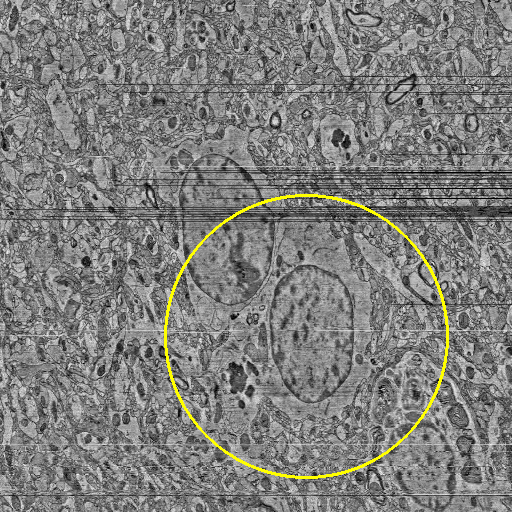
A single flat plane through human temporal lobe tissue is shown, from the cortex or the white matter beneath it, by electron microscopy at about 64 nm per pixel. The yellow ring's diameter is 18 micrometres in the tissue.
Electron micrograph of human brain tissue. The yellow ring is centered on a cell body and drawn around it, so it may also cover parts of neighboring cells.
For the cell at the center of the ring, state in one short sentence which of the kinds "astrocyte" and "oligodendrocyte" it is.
This ring is centered on an astrocyte.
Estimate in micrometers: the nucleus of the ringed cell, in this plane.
The ringed cell's nucleus is roughly 9 by 5 micrometres and clearly longer than it is wide in this plane.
